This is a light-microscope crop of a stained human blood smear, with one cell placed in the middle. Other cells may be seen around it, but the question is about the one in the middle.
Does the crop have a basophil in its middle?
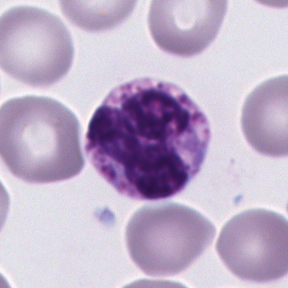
yes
